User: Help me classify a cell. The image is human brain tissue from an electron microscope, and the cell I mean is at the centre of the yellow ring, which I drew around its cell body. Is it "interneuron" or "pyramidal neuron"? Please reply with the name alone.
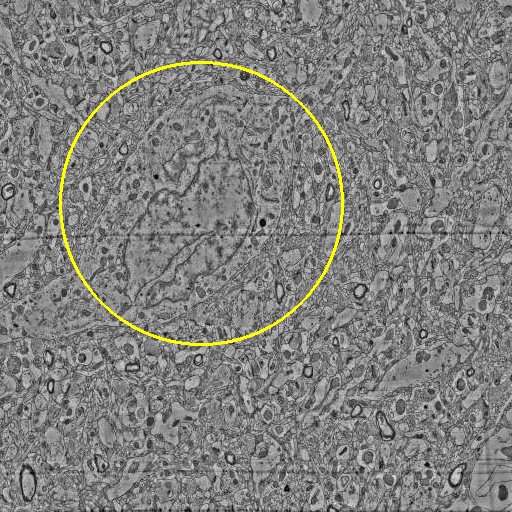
interneuron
